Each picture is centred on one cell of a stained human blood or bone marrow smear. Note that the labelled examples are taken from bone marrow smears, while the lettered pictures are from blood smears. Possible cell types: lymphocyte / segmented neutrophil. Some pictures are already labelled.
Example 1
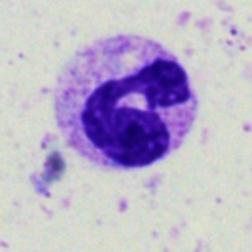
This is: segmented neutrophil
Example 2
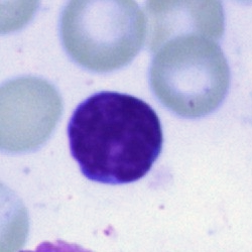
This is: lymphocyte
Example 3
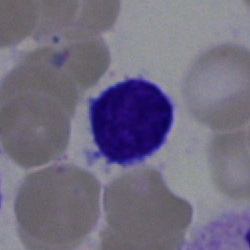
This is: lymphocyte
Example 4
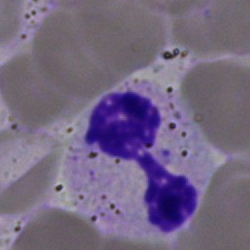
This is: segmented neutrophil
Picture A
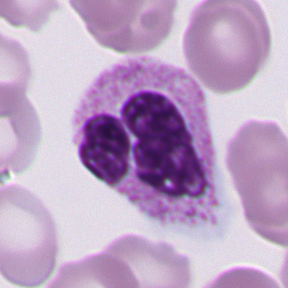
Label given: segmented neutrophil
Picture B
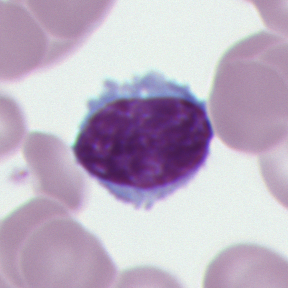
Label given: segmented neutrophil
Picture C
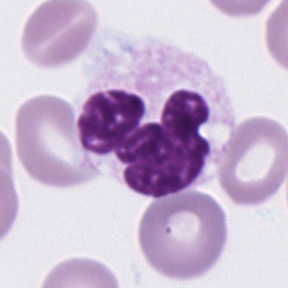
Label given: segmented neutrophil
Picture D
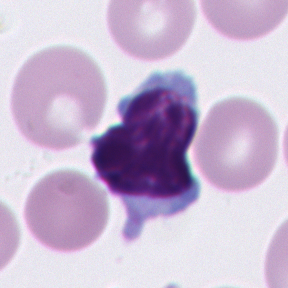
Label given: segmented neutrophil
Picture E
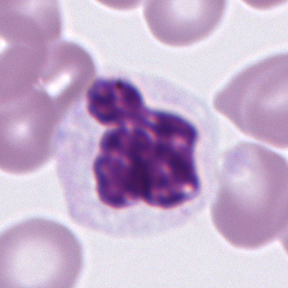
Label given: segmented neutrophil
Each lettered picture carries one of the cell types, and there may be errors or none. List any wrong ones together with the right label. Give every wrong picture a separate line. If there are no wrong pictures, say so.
B: lymphocyte, not segmented neutrophil
D: lymphocyte, not segmented neutrophil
